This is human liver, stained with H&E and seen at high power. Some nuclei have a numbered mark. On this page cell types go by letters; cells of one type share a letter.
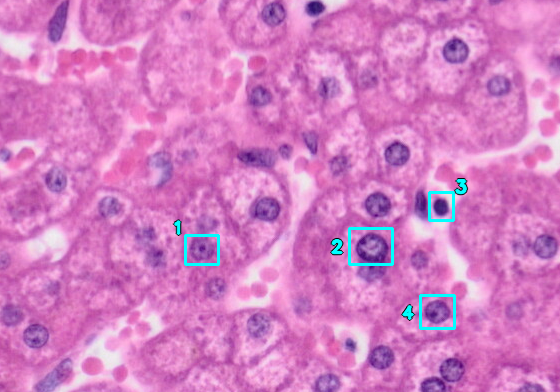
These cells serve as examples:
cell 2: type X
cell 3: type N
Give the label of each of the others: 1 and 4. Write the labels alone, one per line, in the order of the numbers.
type X
type X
